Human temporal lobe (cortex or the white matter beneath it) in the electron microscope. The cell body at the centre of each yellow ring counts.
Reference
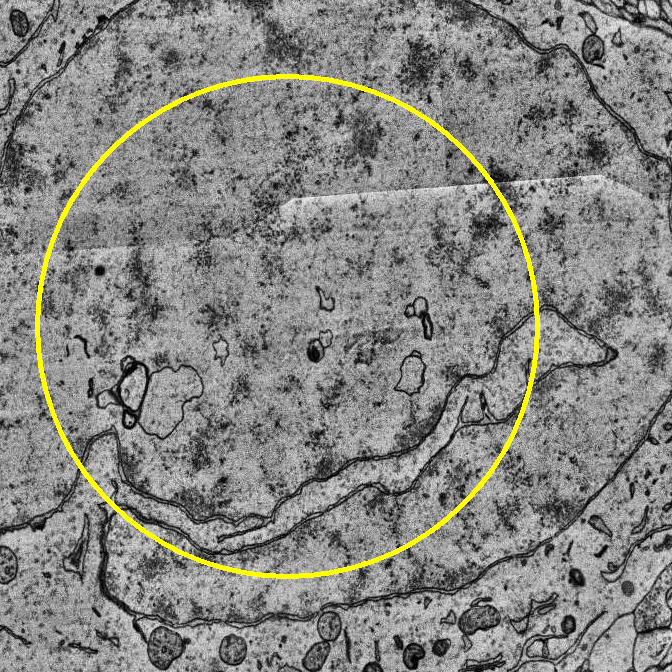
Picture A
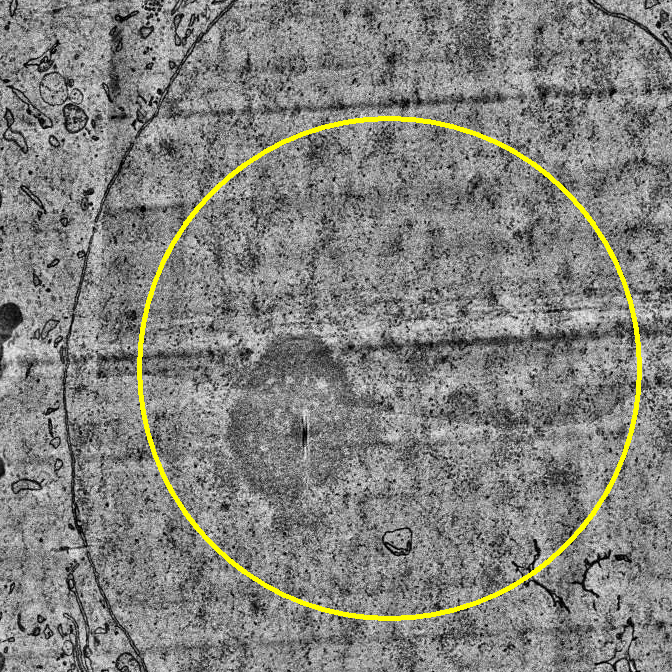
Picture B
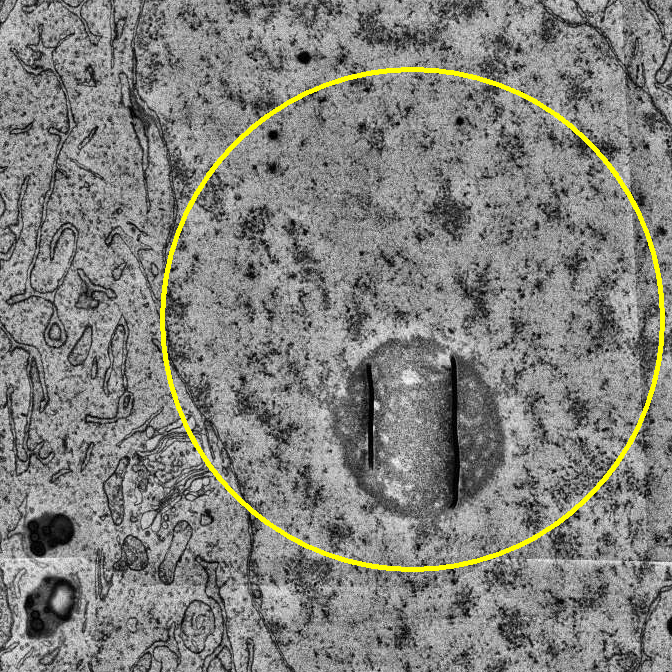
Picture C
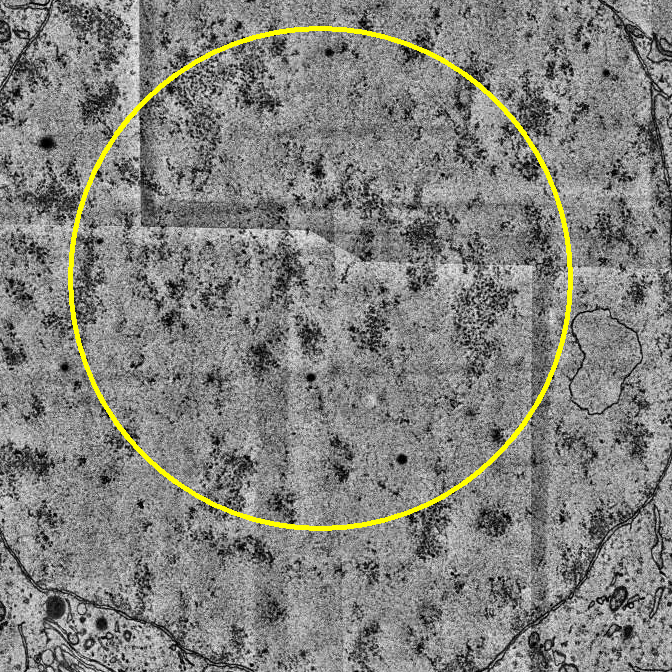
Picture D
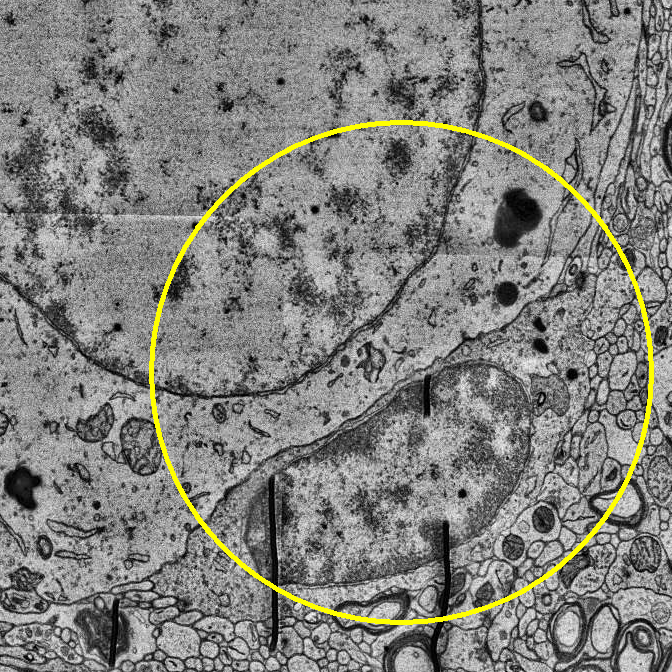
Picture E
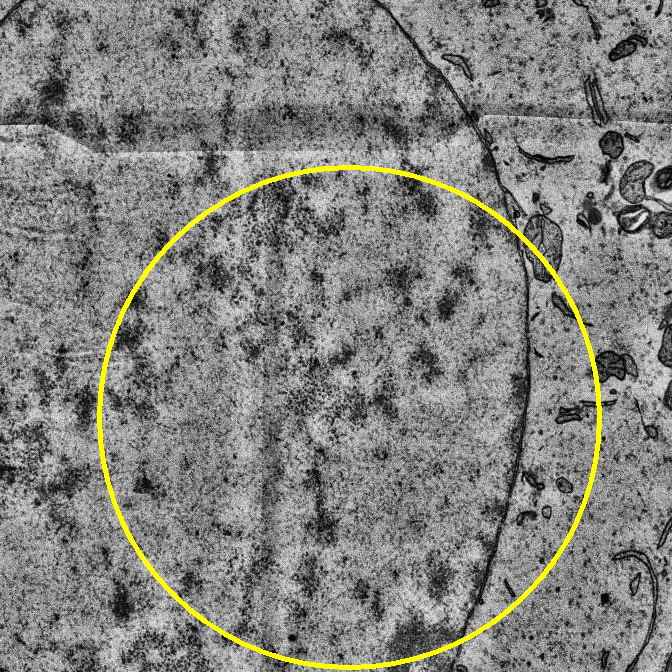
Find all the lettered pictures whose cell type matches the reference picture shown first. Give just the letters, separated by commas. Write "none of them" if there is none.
B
